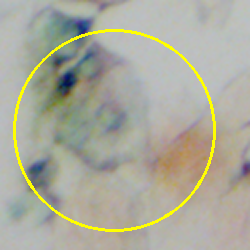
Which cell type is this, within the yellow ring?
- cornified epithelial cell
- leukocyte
Within the ring is a cornified epithelial cell.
